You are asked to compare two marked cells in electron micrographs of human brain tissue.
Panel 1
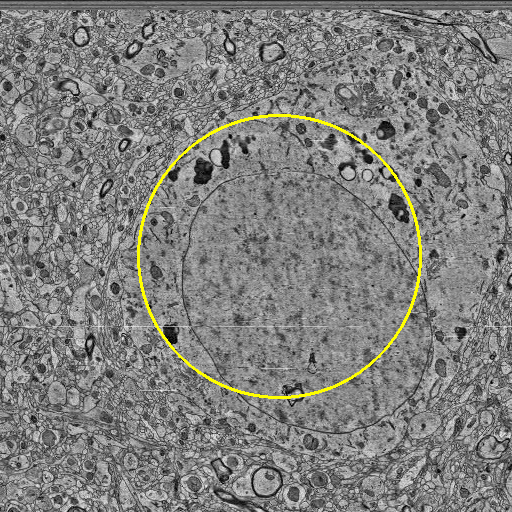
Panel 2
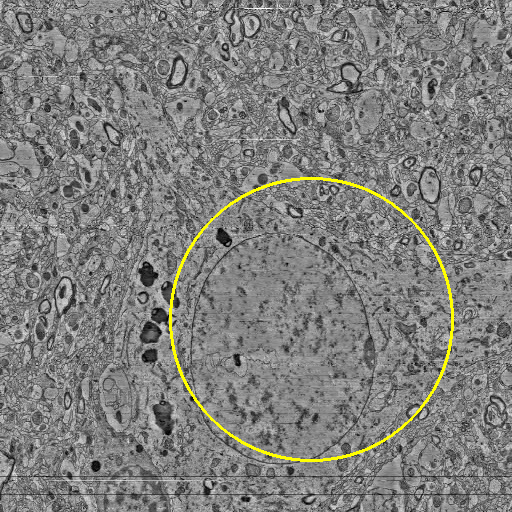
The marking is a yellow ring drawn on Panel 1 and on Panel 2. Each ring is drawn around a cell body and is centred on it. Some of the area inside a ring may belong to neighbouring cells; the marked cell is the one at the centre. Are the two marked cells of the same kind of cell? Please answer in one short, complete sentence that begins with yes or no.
Yes, the two marked cells are of the same kind.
